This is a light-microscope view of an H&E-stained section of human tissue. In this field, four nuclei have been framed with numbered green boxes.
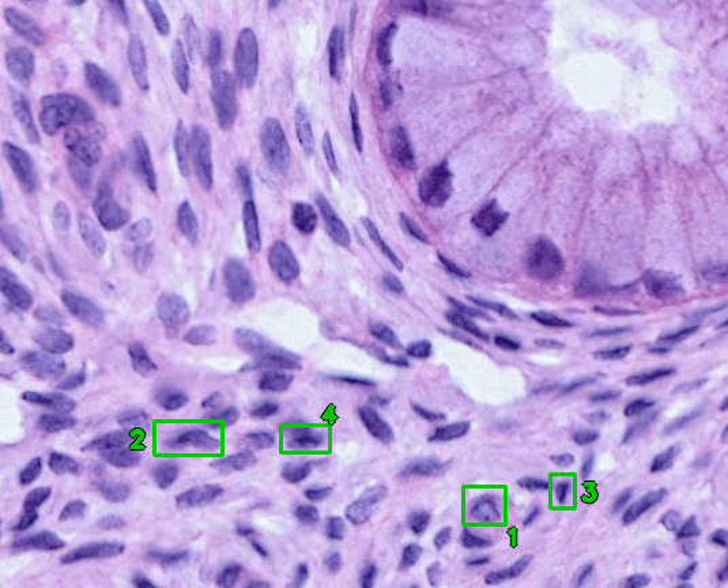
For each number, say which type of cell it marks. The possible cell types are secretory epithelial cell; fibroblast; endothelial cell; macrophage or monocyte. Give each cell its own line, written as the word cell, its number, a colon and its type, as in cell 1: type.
cell 1: endothelial cell
cell 2: fibroblast
cell 3: fibroblast
cell 4: fibroblast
